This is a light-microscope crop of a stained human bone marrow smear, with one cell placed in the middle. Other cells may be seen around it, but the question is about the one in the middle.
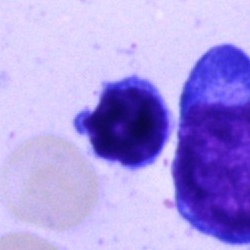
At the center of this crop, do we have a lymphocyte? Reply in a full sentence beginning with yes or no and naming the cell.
Yes, the cell shown at the crop's centre is a lymphocyte.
